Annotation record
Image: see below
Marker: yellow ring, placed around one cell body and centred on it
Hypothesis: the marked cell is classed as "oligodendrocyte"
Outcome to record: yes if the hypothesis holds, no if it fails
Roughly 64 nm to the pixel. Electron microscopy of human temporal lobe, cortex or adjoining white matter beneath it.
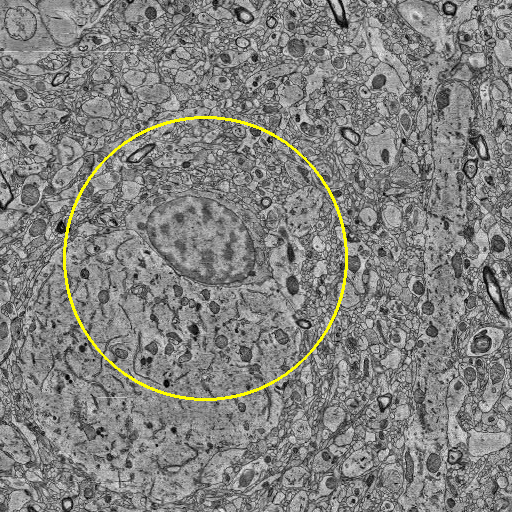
yes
